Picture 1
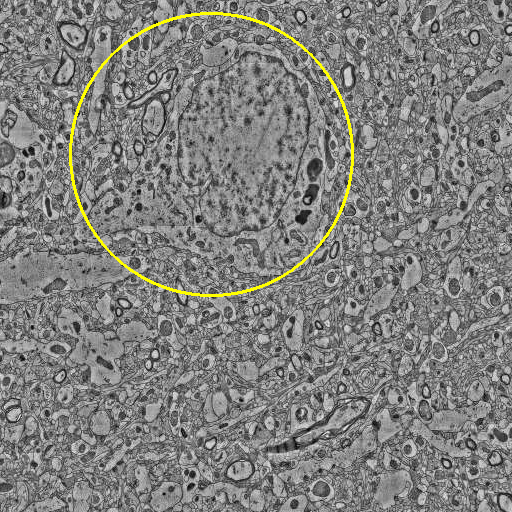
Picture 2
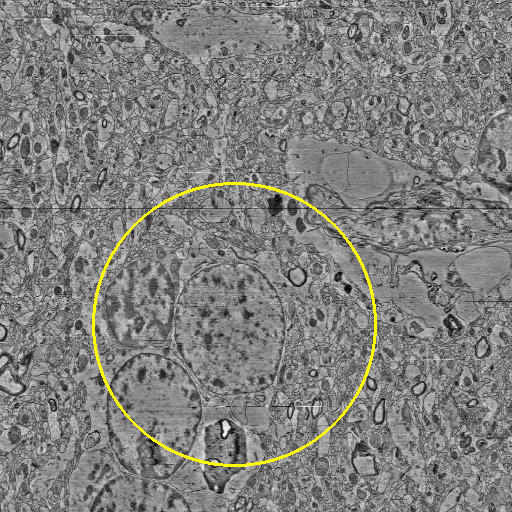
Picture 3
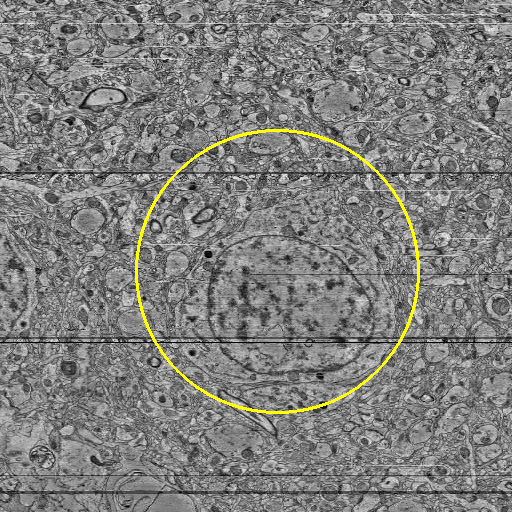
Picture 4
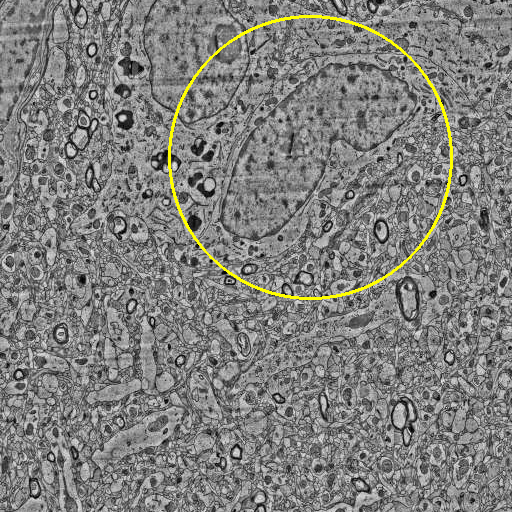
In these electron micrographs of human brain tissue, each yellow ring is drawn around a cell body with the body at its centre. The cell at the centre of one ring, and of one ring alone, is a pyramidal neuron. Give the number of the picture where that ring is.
3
